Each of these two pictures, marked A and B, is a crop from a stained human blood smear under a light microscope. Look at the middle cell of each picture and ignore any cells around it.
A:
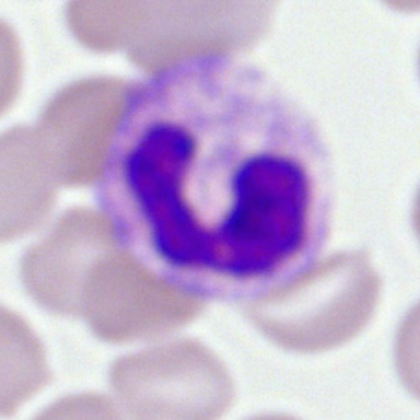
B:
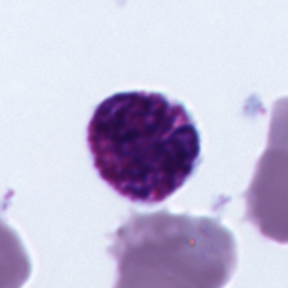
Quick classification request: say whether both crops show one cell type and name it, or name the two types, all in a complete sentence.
No, it is in crop A that a band neutrophil is shown, and in crop B that an eosinophil is shown.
